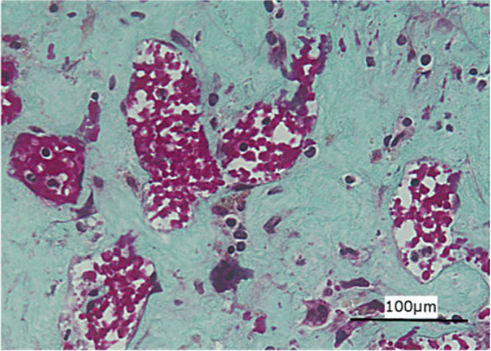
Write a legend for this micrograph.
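This section shows several rounded to irregular vascular channels, or lumen structures, packed with red blood cells, which appear bright red. The channel walls are thin, without a distinct muscular coat. Scattered small dark nuclei of stromal cells lie within the green fibrous tissue, and a few cells with darker cytoplasm lie between the channels. The overall pattern is of closely set, blood-filled channels embedded in dense collagenous tissue.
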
